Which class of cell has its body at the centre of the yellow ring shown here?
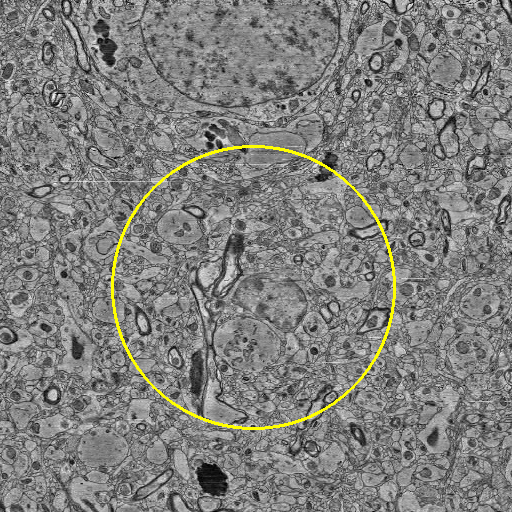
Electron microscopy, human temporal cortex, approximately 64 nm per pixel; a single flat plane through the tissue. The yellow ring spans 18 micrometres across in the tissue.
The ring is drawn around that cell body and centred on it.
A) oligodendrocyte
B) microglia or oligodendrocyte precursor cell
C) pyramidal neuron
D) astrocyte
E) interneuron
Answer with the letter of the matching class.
A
